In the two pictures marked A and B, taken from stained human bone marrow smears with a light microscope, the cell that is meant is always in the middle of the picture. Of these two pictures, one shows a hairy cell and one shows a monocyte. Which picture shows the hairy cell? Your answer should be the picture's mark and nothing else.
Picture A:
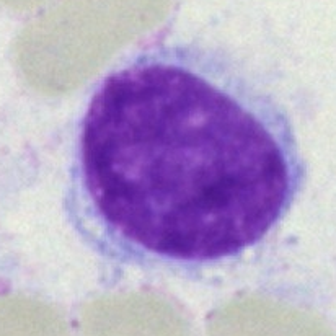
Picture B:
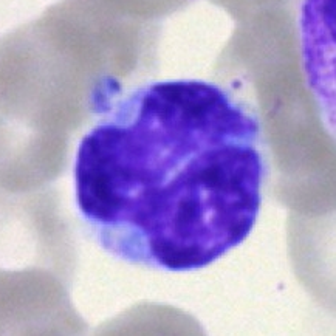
A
